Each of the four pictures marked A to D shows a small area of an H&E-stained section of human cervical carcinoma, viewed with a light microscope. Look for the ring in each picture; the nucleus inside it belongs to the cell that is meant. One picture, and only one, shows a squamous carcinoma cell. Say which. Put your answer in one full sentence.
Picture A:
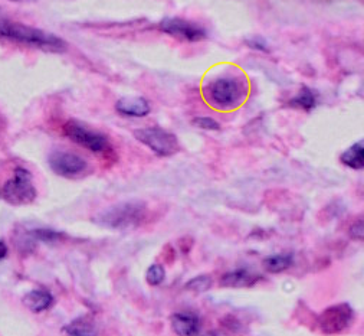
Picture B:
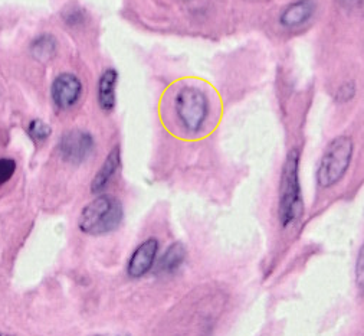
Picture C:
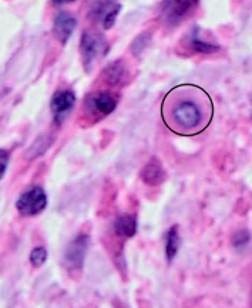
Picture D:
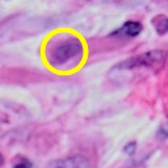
It is picture B that shows the squamous carcinoma cell.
